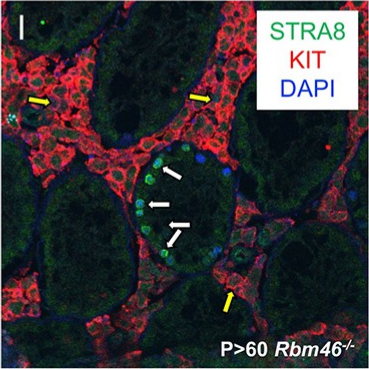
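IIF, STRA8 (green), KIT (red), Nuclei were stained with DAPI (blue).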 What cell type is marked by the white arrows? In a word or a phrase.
Spermatogonia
